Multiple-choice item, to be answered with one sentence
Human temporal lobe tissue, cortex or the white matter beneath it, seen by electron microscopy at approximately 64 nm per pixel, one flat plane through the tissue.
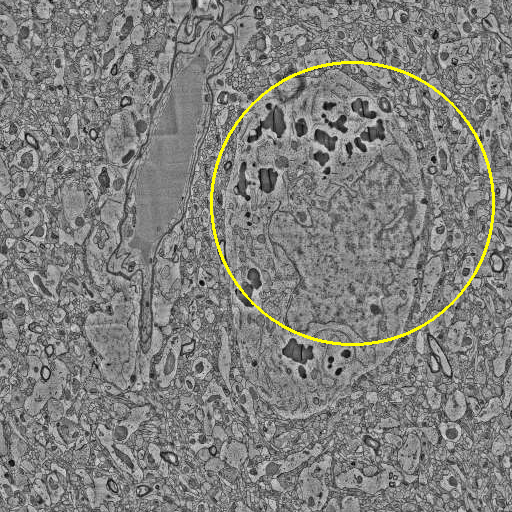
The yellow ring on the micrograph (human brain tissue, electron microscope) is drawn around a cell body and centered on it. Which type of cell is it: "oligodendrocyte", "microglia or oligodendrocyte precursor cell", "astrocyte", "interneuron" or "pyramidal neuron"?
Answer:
The ring is centered on an interneuron.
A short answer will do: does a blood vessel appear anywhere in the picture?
Yes, there is a blood vessel in the image.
